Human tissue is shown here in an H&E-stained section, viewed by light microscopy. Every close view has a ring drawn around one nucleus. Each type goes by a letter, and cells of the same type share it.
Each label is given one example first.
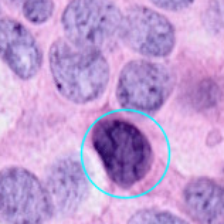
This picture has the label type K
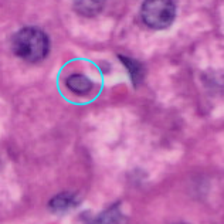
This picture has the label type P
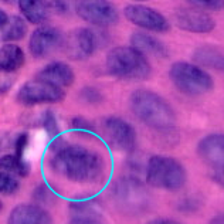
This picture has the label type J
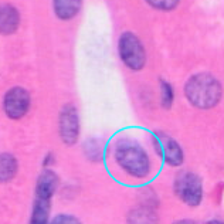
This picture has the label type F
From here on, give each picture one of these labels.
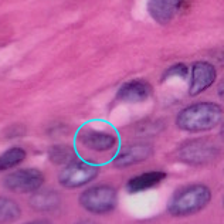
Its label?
type J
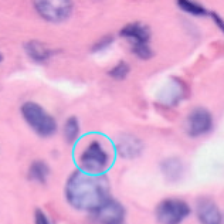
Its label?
type F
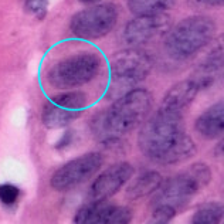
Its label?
type J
